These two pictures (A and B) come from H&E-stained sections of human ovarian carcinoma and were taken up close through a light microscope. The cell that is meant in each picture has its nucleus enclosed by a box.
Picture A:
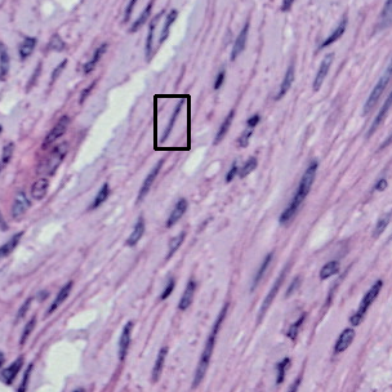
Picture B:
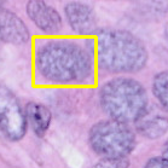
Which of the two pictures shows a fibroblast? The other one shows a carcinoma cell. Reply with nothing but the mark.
A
